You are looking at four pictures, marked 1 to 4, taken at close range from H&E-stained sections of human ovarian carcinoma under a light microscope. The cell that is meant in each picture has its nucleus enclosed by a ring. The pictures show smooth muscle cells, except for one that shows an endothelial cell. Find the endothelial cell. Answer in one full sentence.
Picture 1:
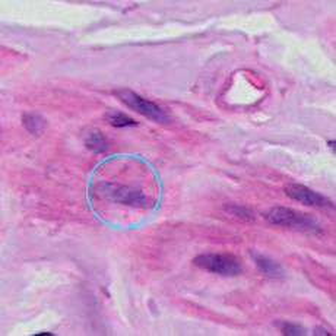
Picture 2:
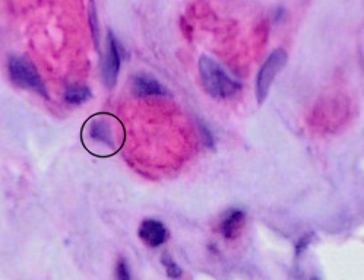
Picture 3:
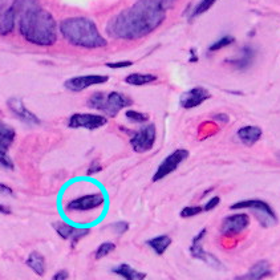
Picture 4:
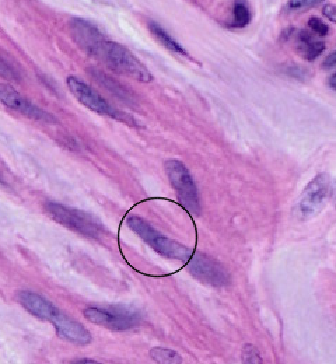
Picture 2 shows the endothelial cell.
